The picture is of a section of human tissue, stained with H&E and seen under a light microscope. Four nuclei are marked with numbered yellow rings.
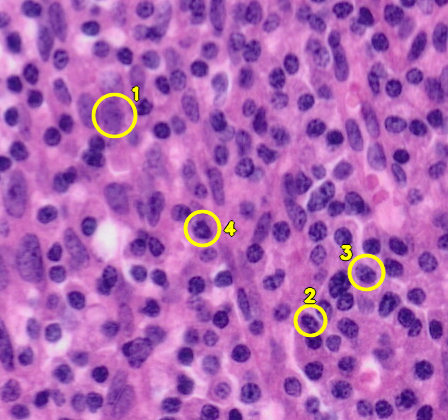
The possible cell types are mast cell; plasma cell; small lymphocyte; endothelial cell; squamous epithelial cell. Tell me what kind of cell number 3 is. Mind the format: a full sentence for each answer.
The one numbered 3 among the marked cells is a plasma cell.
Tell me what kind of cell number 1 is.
Cell 1 in the field of view is a squamous epithelial cell.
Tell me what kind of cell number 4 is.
The expected answer is that cell 4 is a plasma cell.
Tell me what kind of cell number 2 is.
The cell to which the number 2 is assigned is a plasma cell.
